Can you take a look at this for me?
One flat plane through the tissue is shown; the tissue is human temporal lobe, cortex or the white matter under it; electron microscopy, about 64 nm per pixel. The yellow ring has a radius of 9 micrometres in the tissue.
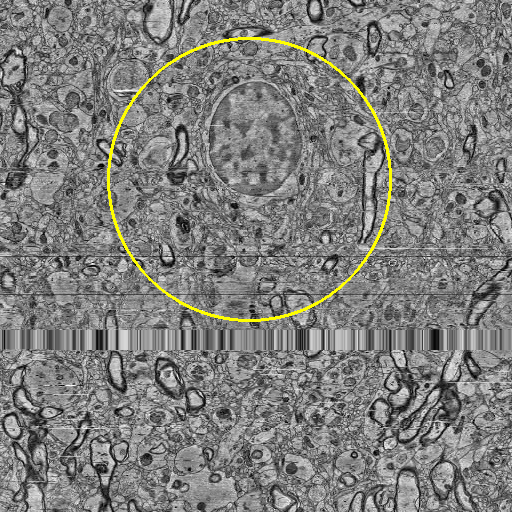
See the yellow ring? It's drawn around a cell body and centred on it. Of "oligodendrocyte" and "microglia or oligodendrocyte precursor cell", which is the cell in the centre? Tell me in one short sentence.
The one in the centre is a microglial cell or oligodendrocyte precursor cell.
